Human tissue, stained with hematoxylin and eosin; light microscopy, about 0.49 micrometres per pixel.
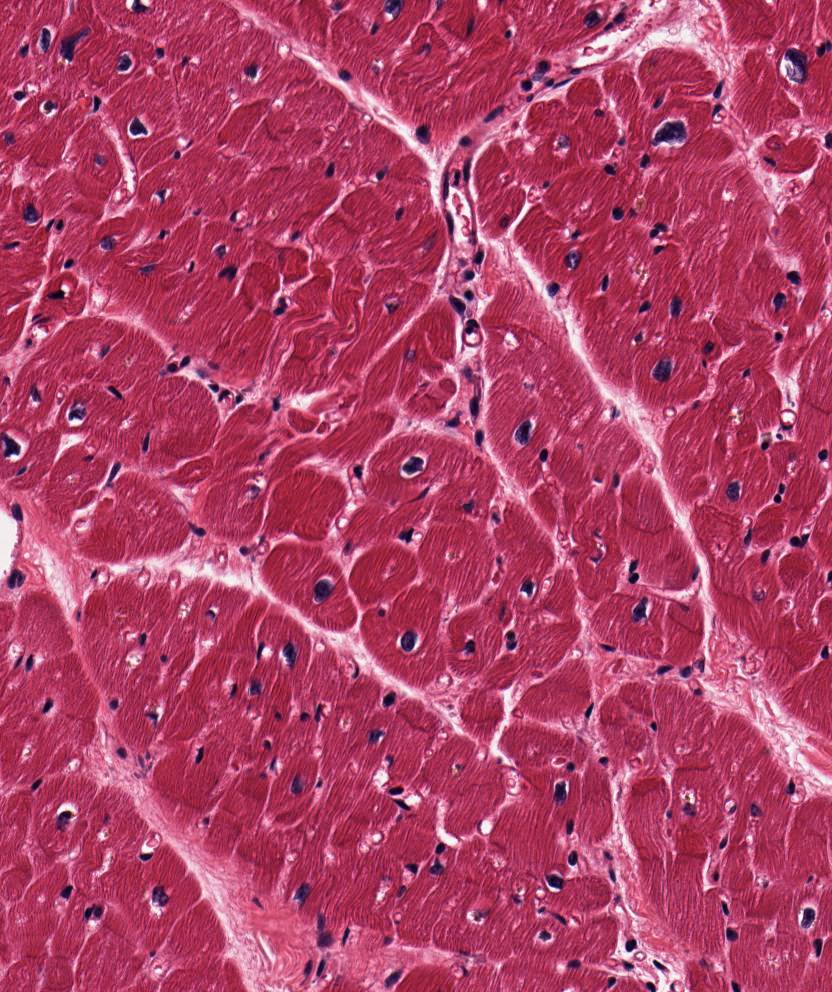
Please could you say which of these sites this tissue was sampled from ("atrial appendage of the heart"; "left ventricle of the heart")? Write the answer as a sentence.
The site this tissue was sampled from is the left ventricle of the heart.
